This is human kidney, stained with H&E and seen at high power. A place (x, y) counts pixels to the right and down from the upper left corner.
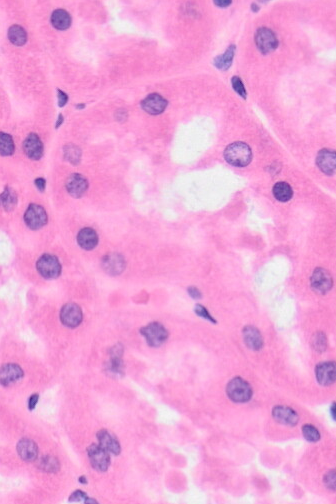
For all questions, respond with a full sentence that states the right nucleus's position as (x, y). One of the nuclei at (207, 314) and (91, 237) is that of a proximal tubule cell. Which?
Of the two options, the nucleus at (91, 237) is the one that belongs to a proximal tubule cell.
